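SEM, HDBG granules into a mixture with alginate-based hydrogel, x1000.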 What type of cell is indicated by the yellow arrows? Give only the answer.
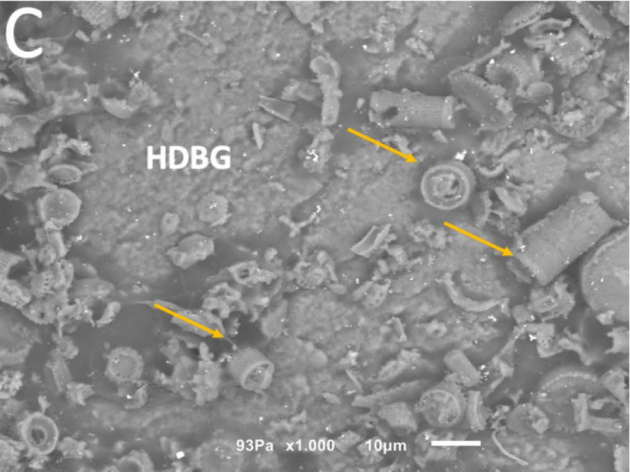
Diatoms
